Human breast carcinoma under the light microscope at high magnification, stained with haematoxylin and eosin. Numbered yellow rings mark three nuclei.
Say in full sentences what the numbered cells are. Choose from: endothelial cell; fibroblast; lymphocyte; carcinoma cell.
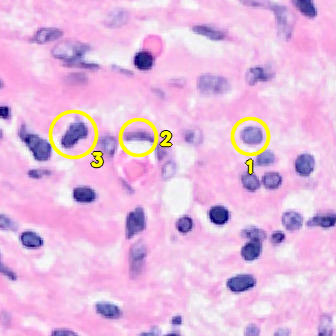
Cells 1 and 3 are lymphocytes. Cell 2 is an endothelial cell.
